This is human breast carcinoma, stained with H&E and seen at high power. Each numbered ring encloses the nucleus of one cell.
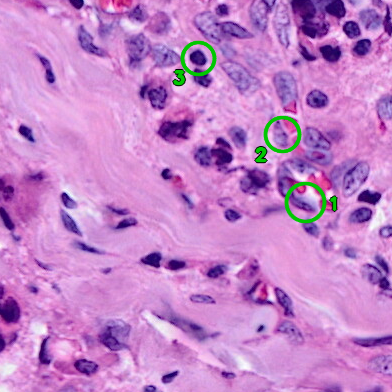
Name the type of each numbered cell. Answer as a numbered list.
1. endothelial cell
2. endothelial cell
3. lymphocyte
